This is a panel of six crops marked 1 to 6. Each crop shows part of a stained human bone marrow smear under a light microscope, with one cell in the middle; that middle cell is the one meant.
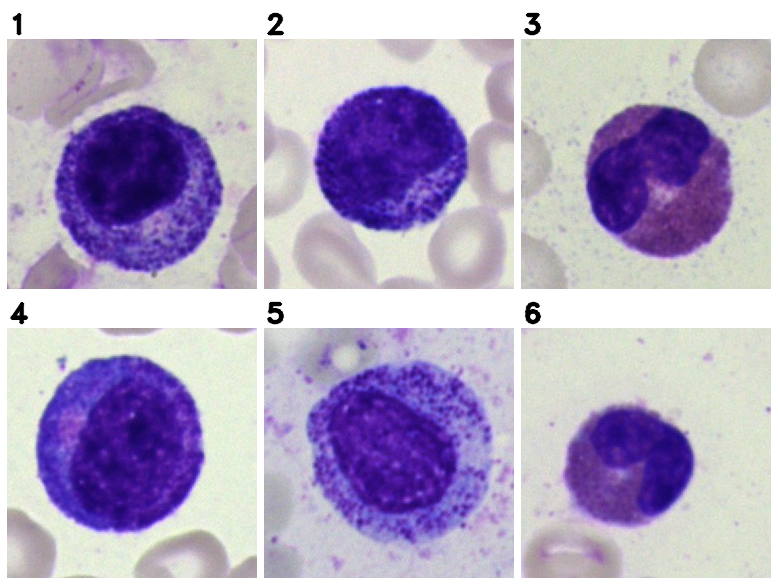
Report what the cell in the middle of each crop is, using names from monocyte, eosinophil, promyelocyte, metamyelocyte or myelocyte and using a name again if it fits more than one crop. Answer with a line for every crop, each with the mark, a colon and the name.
1: myelocyte
2: promyelocyte
3: eosinophil
4: promyelocyte
5: promyelocyte
6: eosinophil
